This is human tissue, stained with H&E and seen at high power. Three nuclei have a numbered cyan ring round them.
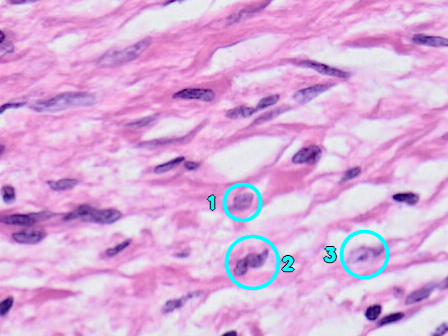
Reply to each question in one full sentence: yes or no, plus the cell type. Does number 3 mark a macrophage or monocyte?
No, rather than a macrophage or monocyte, cell number 3 is a fibroblast or myofibroblast.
